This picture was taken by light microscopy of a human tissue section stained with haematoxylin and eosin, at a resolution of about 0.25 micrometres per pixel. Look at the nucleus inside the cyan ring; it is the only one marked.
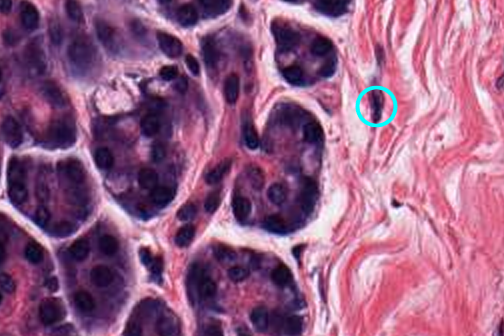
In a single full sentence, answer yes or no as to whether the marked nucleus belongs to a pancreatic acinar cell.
No, the marked nucleus is not borne by a pancreatic acinar cell; it is borne by a supporting cell.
